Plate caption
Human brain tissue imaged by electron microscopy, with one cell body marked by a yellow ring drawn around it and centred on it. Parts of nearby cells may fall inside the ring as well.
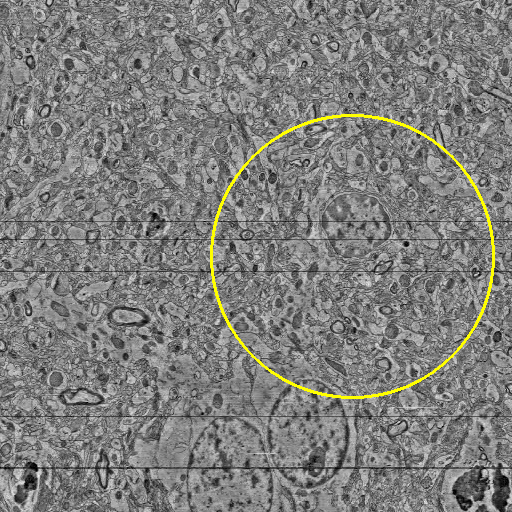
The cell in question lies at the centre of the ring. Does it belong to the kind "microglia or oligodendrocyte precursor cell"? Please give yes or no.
Yes, it belongs to that kind.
